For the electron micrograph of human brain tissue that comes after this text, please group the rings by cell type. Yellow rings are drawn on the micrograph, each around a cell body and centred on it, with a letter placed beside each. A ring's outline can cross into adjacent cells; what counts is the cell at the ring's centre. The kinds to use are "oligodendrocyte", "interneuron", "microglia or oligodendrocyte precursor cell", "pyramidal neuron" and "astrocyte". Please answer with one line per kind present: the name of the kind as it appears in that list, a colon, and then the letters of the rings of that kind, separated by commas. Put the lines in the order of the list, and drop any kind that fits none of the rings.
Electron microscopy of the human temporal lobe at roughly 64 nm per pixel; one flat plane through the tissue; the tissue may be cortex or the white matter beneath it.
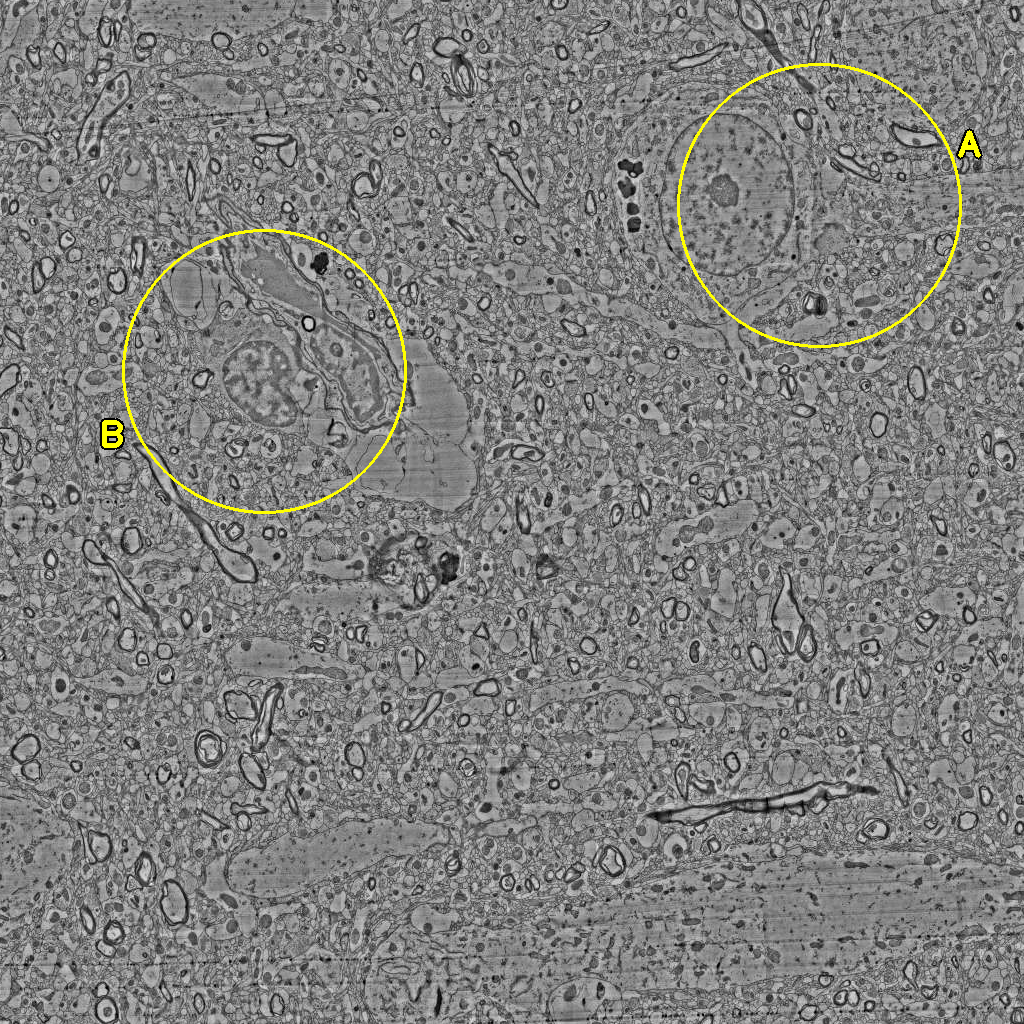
oligodendrocyte: A, B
